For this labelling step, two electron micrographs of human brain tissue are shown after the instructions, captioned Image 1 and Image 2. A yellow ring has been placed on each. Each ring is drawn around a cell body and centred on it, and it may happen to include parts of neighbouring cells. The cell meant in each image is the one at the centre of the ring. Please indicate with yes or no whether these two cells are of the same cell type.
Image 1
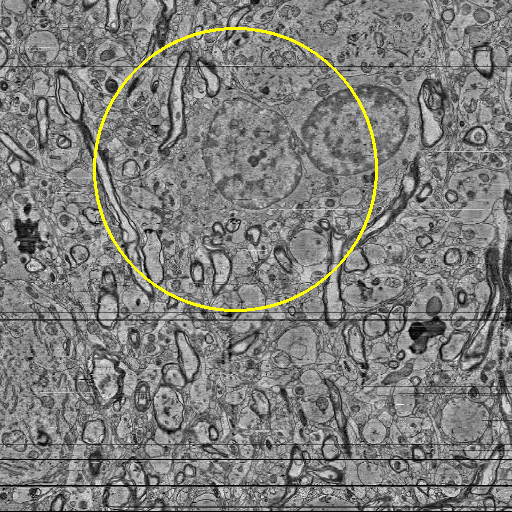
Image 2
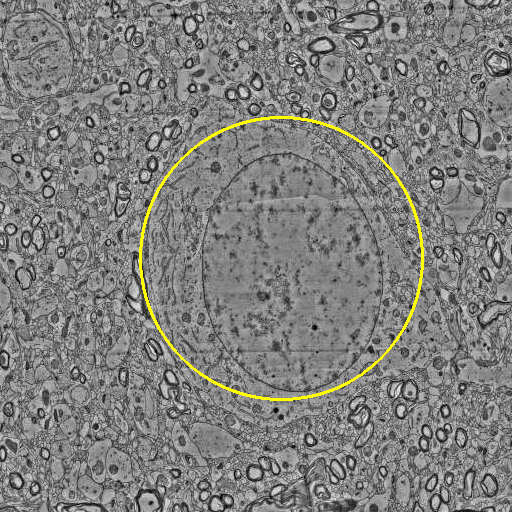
no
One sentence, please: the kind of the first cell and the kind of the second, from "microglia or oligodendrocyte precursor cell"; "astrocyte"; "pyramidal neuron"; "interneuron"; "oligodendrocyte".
The ring in the first picture surrounds an oligodendrocyte, and the ring in the second surrounds a pyramidal neuron.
